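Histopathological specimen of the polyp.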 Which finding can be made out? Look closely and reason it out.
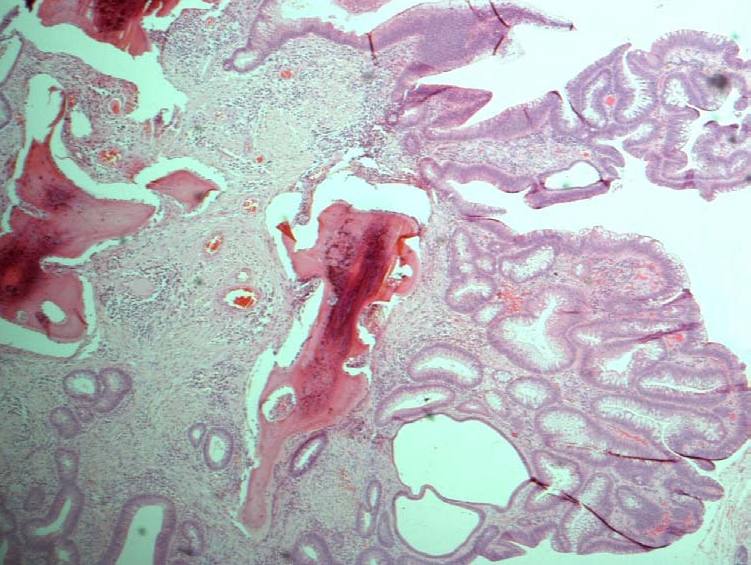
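Irregular trabeculae of dense, homogeneous, deep pink matrix lie within the stroma. The pink trabeculae are separated from the surrounding stroma by clefts. So: osseous metaplasia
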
